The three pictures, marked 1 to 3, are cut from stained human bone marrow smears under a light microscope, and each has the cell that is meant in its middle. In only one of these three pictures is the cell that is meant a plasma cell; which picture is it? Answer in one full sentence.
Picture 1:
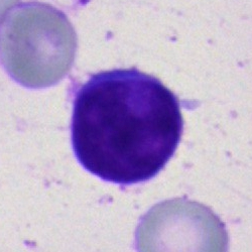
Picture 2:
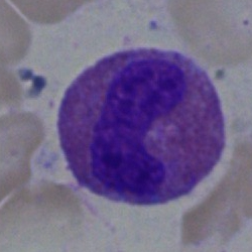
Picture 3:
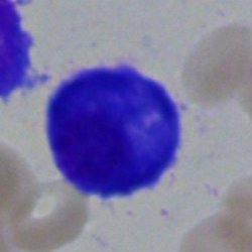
It is picture 3 that shows the plasma cell.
